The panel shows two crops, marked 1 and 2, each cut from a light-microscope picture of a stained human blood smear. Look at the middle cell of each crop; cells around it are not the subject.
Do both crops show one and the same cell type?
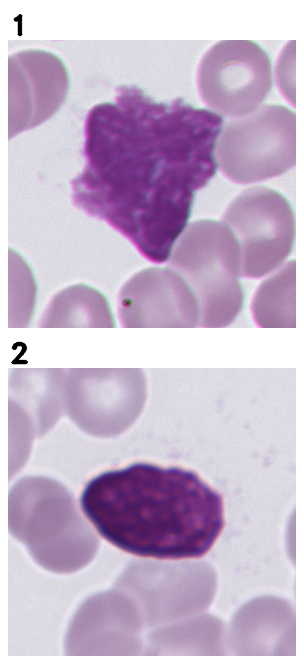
yes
